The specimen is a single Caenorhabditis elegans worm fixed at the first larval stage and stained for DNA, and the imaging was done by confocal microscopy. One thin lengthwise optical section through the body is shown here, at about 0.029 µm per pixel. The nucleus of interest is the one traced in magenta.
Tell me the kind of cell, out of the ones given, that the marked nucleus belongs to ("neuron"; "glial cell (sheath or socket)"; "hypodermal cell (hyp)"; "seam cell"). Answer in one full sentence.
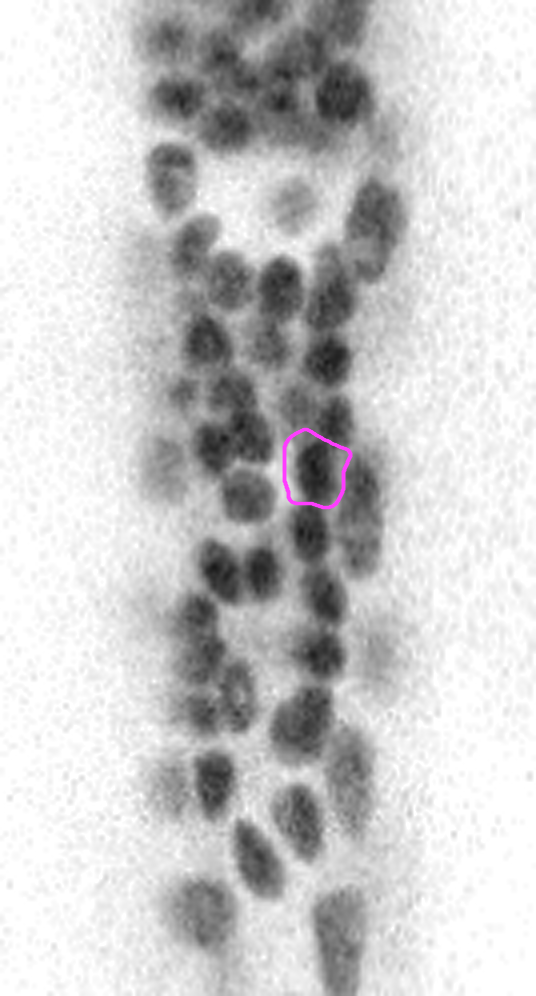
It belongs to a glial cell (sheath or socket).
